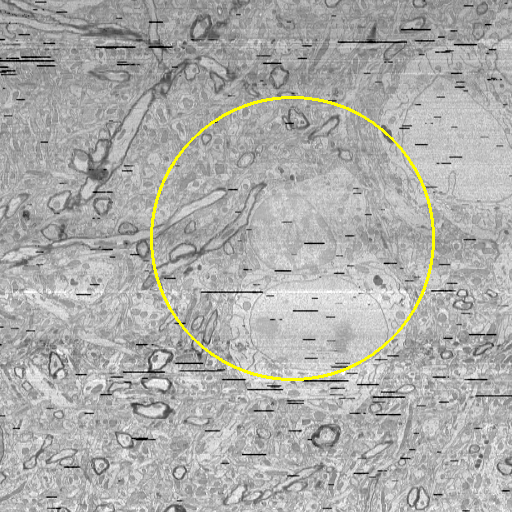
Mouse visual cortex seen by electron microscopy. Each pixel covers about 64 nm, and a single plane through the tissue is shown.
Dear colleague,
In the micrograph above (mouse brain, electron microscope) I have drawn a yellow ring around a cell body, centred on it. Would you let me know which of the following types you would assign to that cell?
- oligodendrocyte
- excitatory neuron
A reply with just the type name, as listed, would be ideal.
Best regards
oligodendrocyte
